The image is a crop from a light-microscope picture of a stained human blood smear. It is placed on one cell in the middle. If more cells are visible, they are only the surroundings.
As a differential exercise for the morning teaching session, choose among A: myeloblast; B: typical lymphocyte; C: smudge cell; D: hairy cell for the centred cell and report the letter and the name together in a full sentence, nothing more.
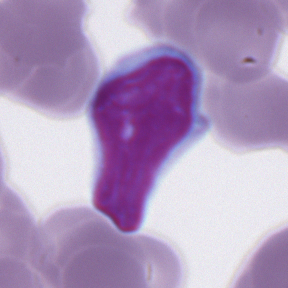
The central cell is a typical lymphocyte, which makes option B the right answer.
